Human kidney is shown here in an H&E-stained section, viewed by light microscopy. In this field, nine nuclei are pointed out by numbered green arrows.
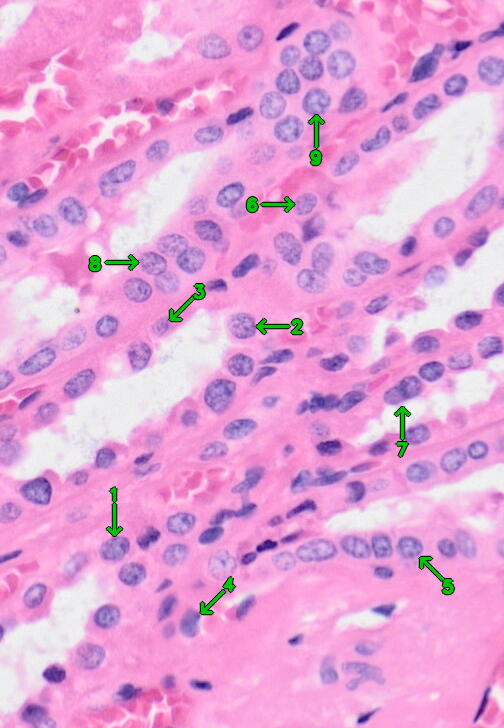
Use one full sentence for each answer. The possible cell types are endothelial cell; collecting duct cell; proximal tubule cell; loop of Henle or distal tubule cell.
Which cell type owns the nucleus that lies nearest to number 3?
The cell nearest to number 3 is a loop of Henle or distal tubule cell.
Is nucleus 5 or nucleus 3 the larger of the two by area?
Nucleus 5 is larger, with an area about 2 times that of nucleus 3.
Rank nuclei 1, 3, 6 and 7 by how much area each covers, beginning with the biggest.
By area, largest first, they run 7, 1, 6, 3.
